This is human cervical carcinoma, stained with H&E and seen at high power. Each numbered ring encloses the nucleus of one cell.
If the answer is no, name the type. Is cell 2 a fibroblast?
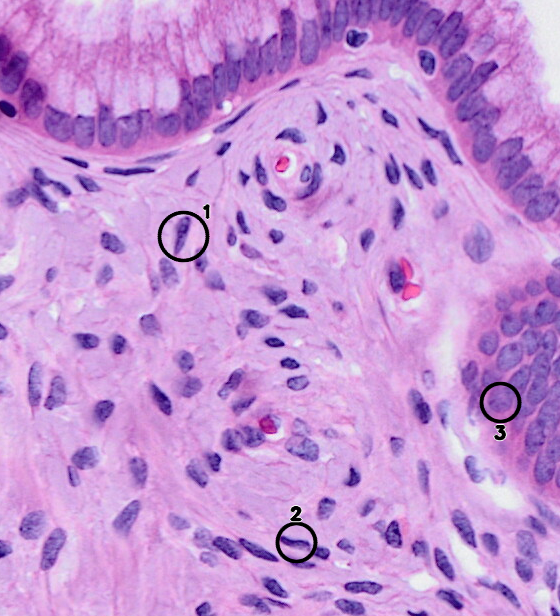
Yes.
